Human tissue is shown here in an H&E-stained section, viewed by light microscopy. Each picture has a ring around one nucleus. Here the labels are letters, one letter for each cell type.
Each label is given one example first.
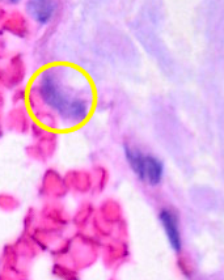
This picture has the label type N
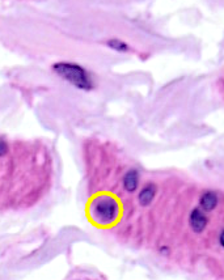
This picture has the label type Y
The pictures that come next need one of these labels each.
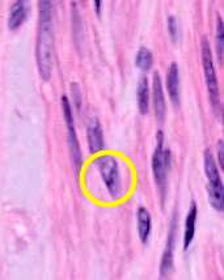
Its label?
type Y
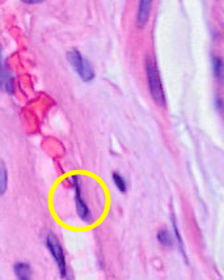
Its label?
type N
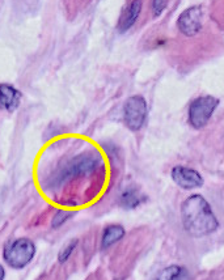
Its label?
type N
